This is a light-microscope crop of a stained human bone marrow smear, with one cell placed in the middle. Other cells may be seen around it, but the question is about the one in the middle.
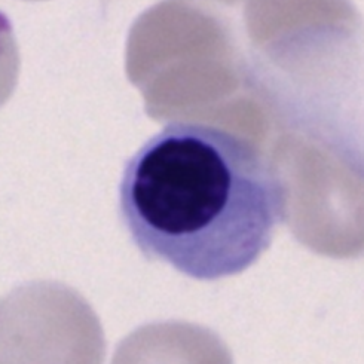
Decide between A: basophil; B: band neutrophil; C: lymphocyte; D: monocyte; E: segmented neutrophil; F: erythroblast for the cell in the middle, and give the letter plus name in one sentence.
Here the central cell is an erythroblast, and option F is correct.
